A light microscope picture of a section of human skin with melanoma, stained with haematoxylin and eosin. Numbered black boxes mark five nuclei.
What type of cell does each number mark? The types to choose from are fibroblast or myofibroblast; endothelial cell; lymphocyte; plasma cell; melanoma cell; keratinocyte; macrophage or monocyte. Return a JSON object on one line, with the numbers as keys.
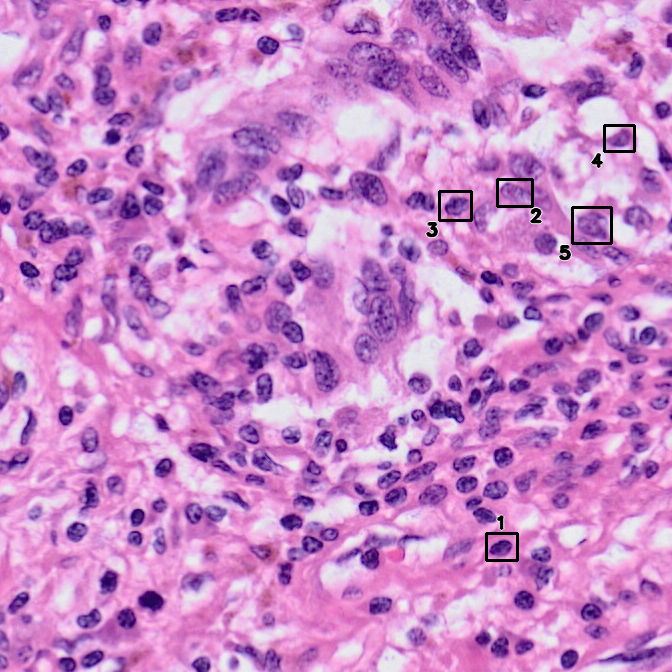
{"1": "lymphocyte", "2": "melanoma cell", "3": "lymphocyte", "4": "melanoma cell", "5": "melanoma cell"}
